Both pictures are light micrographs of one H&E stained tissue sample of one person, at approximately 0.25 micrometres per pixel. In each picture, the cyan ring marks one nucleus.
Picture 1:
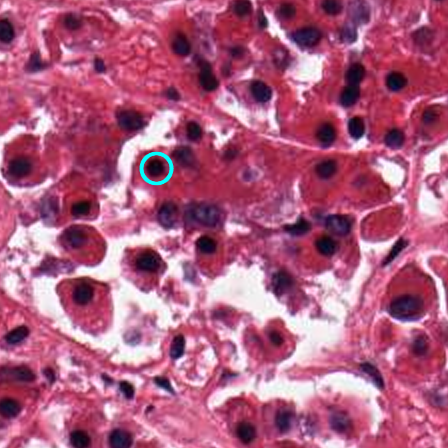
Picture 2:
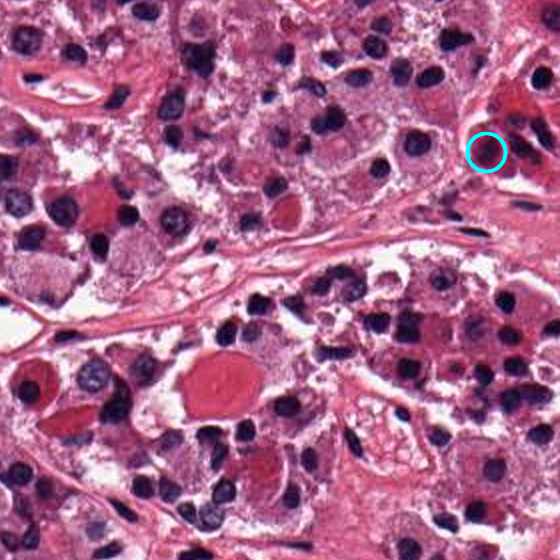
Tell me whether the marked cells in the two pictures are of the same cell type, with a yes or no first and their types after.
Yes, both are anterior pituitary cells.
